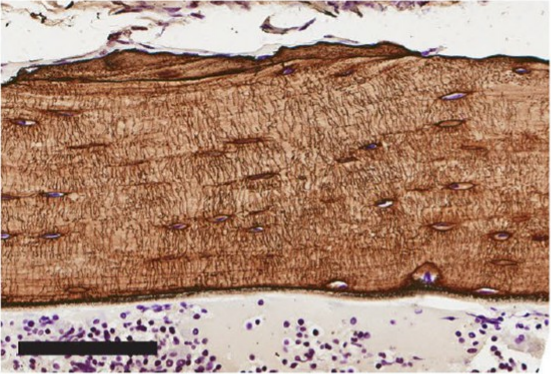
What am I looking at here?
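This is a band of cortical bone whose matrix is stained brown, with osteocytes embedded in it. Very fine dark lines run through the matrix between the lacunae, making up the canalicular network that links the osteocytes. The matrix is dense and continuous, without large holes. Above the bone there is pale loose tissue, and below it lie many small, round, purple-stained marrow cells.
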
